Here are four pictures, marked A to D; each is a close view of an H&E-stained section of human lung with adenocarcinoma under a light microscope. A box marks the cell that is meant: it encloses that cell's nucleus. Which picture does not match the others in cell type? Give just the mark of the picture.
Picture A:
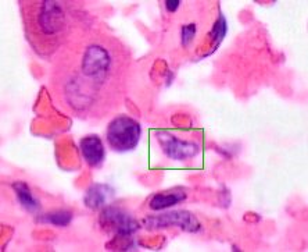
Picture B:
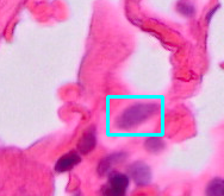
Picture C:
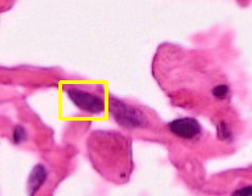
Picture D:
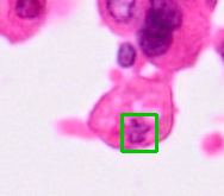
D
